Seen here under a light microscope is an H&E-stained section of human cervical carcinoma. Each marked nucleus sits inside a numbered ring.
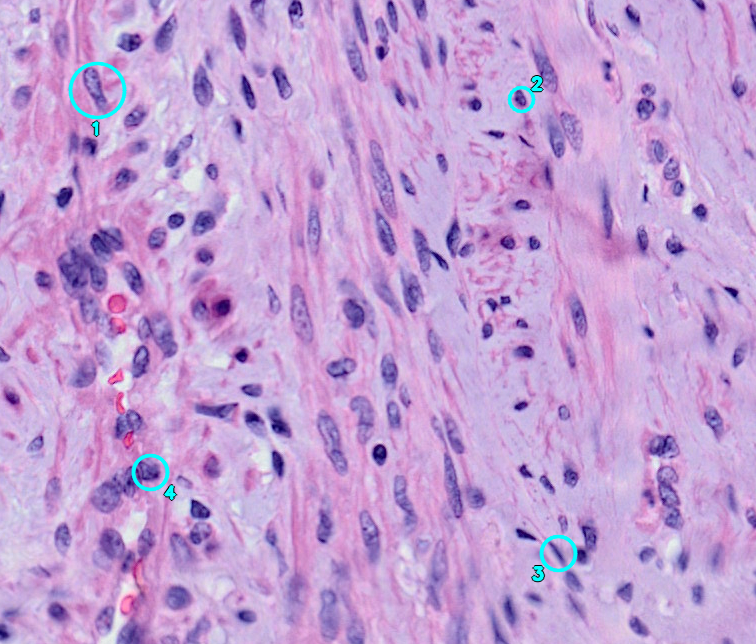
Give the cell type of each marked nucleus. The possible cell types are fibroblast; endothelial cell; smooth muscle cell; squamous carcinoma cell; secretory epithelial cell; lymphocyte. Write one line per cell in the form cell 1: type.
cell 1: smooth muscle cell
cell 2: smooth muscle cell
cell 3: fibroblast
cell 4: endothelial cell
